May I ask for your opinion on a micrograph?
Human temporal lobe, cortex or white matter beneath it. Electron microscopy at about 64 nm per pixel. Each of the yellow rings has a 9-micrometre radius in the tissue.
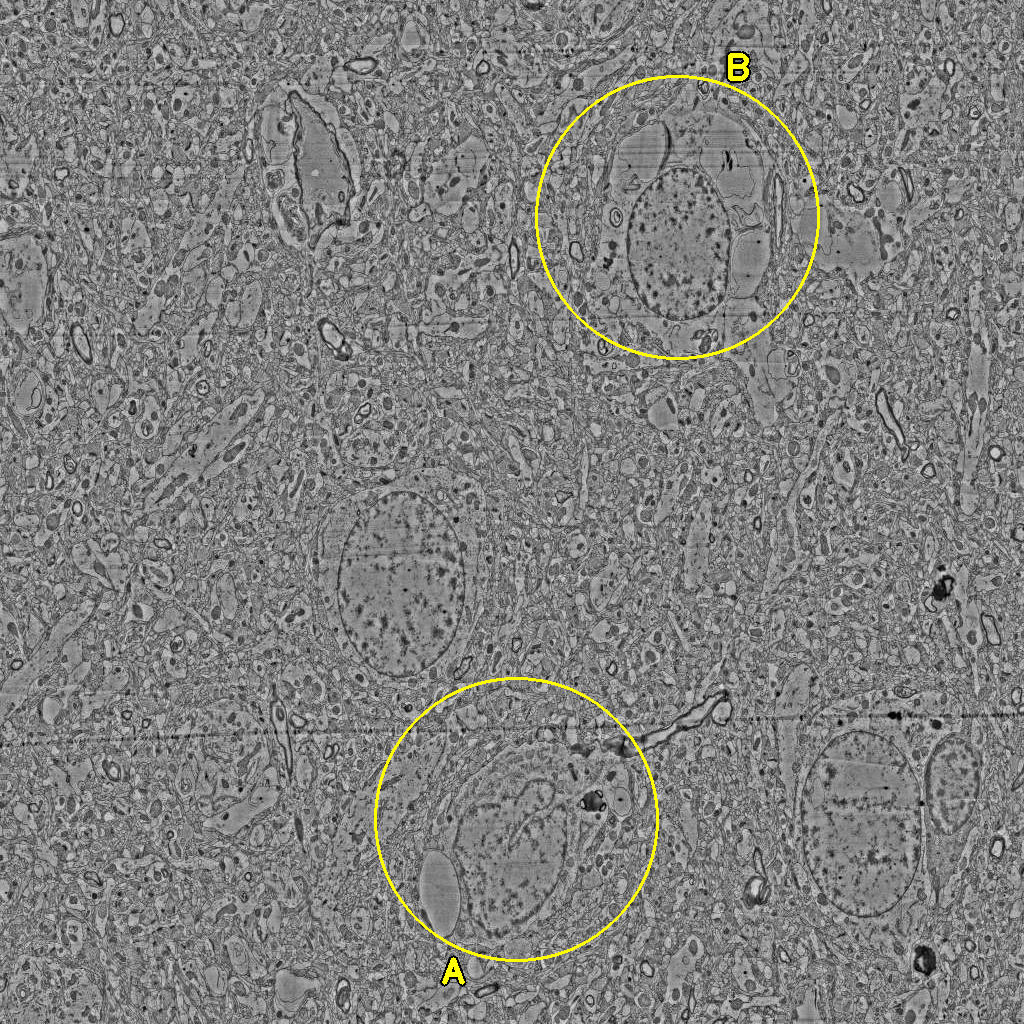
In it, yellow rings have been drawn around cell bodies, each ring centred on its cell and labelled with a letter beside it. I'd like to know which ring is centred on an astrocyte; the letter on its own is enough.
B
